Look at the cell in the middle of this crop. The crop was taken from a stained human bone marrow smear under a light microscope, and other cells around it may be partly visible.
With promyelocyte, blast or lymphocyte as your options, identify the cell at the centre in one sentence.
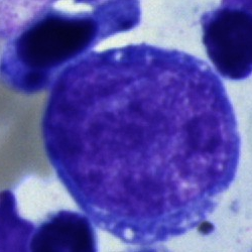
The cell that lies at the centre of the crop is a blast.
